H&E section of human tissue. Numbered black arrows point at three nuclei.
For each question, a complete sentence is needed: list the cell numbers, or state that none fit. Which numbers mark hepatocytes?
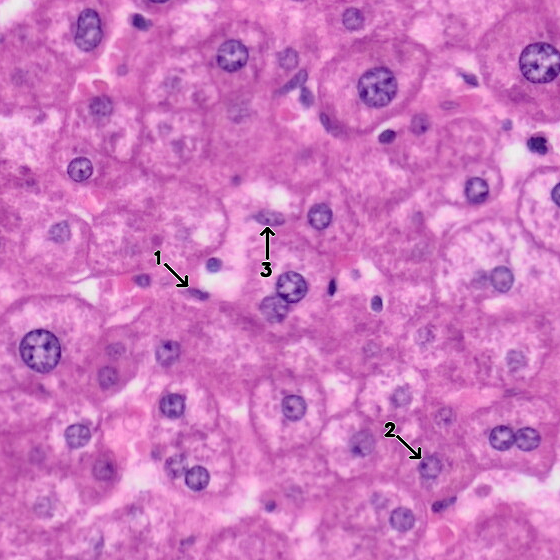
The cell labelled 2 is a hepatocyte, while the remaining numbered cells are not.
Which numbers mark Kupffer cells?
The sole numbered cell that is a Kupffer cell is cell 3.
